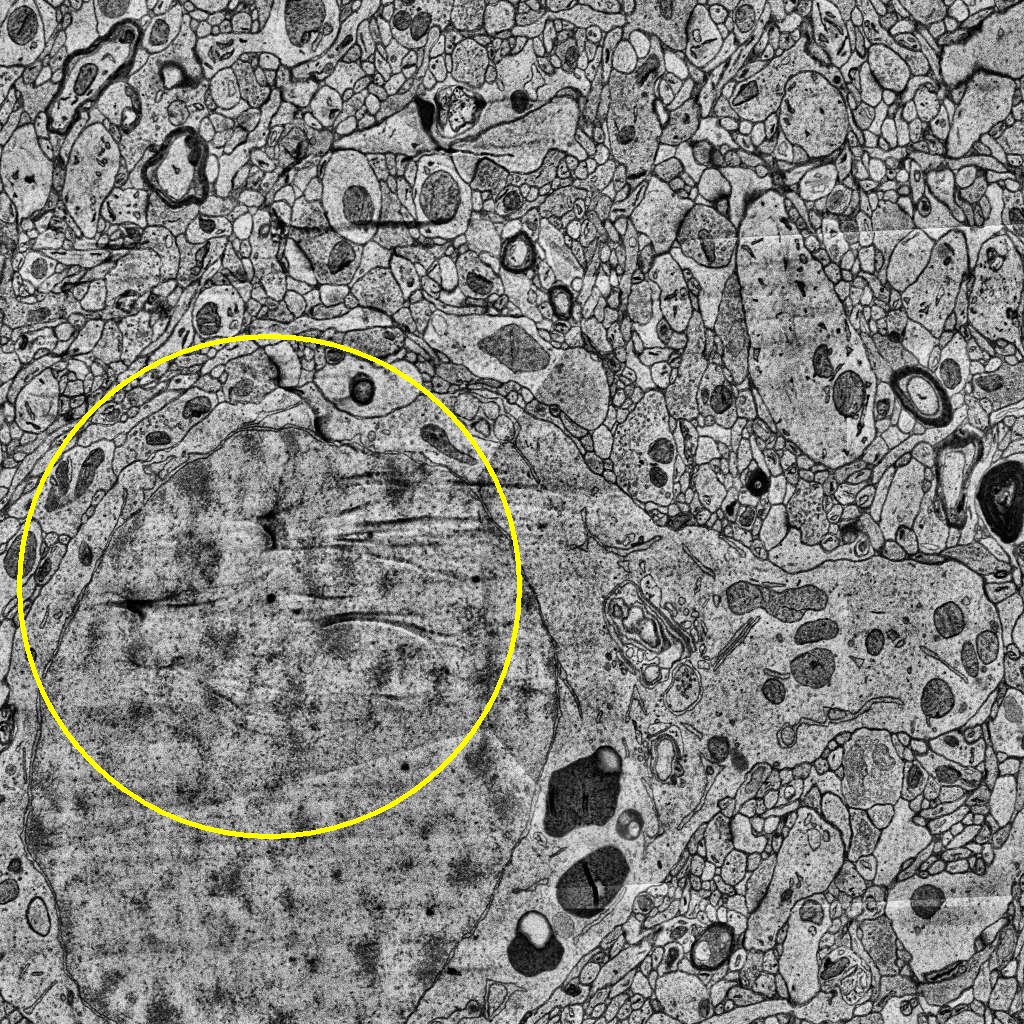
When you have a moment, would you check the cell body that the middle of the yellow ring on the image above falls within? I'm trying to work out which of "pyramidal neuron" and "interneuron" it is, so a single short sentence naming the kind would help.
This cell body belongs to an interneuron.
